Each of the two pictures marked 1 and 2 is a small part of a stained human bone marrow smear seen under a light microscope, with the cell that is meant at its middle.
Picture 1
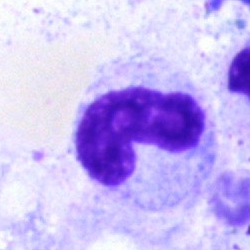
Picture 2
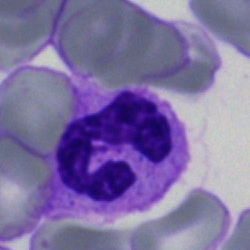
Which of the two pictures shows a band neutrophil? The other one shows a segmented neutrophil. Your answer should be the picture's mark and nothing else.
1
